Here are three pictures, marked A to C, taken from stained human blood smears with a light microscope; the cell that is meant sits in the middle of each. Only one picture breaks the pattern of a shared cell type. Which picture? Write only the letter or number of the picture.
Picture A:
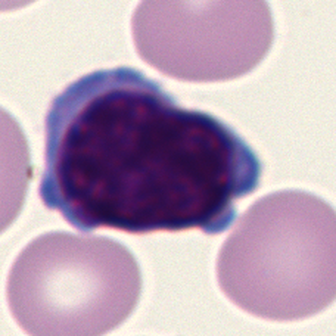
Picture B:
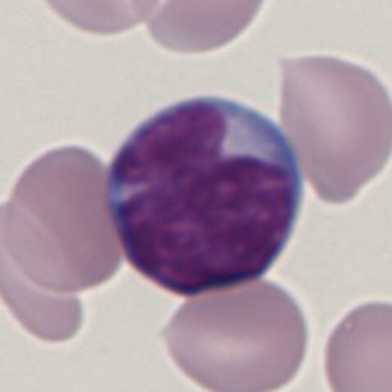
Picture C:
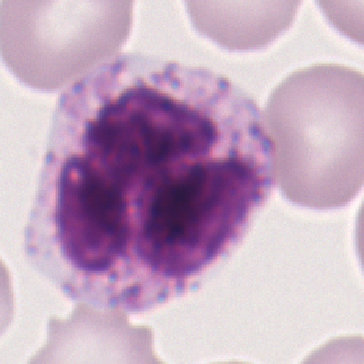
C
